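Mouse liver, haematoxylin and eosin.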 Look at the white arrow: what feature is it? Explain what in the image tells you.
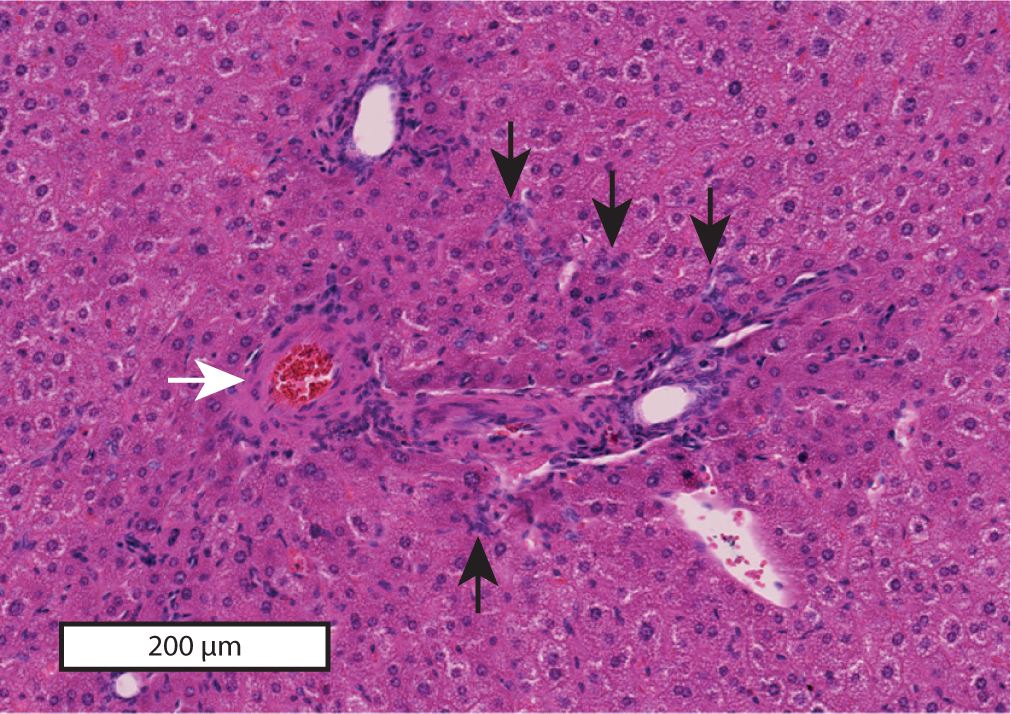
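Prominent vessels. The arrow points to a lumen filled with red blood cells.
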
